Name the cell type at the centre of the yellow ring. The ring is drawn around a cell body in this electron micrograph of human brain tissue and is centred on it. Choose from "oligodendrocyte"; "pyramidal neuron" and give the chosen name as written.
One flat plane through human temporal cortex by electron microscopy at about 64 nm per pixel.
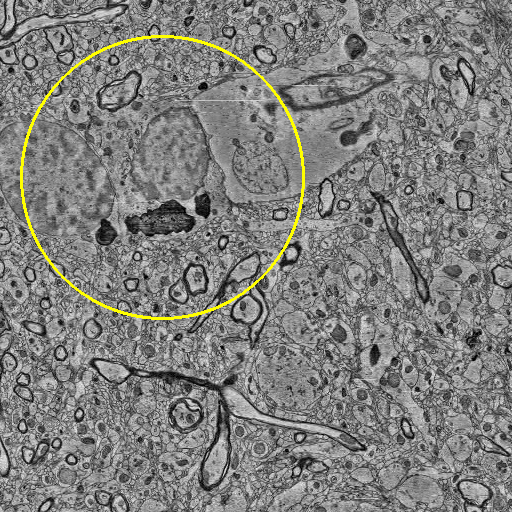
oligodendrocyte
